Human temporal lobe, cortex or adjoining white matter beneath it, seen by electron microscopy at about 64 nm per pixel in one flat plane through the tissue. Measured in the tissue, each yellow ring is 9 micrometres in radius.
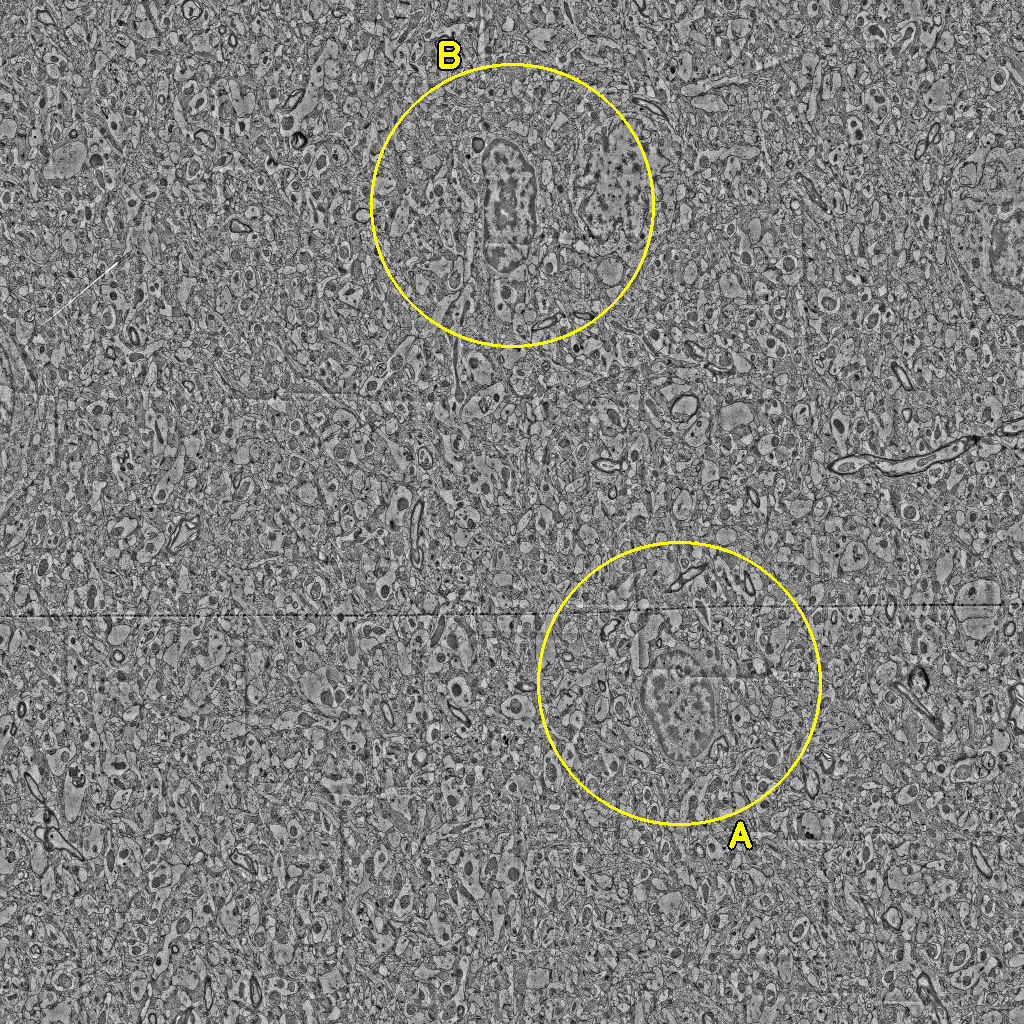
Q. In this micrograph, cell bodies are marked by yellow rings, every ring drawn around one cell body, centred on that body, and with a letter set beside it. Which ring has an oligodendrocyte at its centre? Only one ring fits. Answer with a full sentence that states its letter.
The ring lettered A surrounds the cell asked for at its centre.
